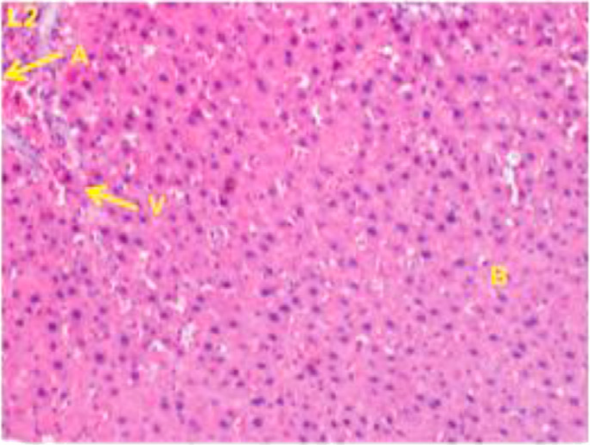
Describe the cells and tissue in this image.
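Liver tissue in which hepatocytes form broad, closely packed sheets of polygonal cells with pink cytoplasm and round purple nuclei. Near one corner the tissue is looser, with small white spaces and a few darker stained cells beside a vessel.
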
